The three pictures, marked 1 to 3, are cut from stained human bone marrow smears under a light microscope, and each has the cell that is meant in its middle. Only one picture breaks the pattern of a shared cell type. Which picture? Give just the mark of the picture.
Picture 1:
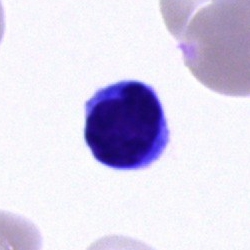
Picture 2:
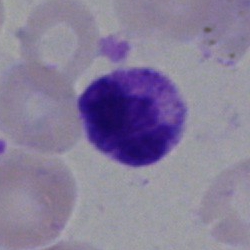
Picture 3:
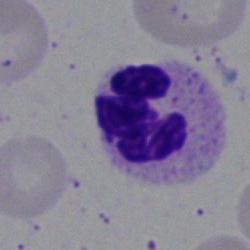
1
